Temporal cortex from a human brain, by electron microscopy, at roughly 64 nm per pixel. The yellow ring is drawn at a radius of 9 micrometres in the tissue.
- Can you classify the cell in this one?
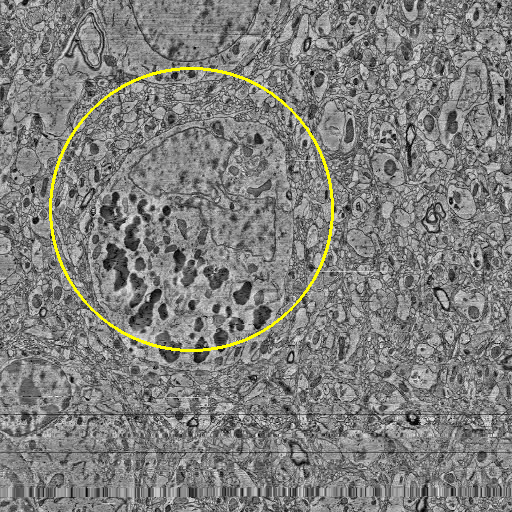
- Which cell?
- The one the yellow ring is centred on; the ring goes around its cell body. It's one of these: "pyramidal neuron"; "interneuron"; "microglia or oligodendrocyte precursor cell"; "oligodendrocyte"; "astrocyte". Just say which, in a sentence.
The cell body in the ring belongs to an interneuron.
